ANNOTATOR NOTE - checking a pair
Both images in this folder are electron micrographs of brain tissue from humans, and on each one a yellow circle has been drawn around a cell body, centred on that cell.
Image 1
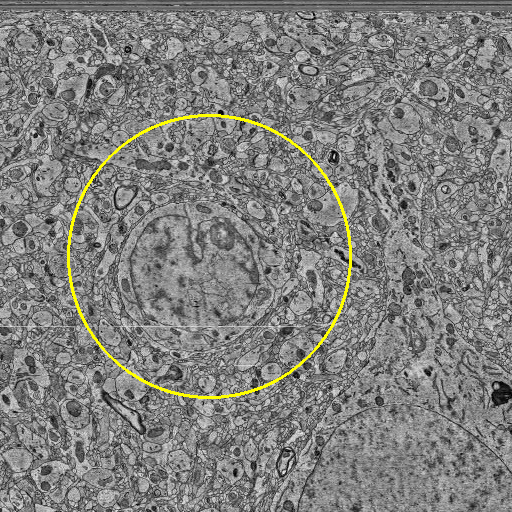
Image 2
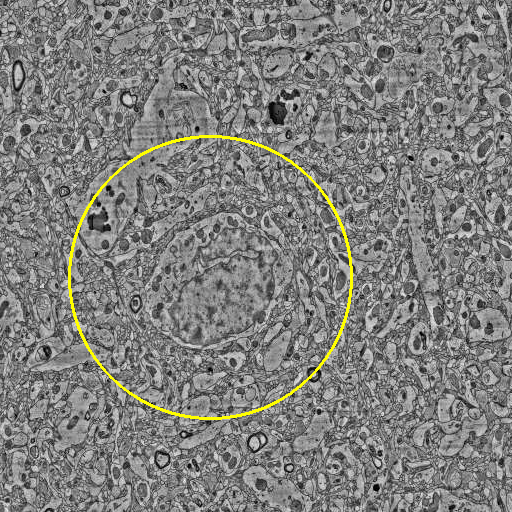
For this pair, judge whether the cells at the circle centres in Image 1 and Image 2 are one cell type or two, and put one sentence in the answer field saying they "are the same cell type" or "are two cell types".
For this pair, the cells at the circle centres in Images 1 and 2 are the same cell type.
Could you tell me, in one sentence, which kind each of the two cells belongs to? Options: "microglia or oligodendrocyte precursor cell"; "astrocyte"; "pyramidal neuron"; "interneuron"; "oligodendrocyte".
Each of the two cells is an interneuron.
